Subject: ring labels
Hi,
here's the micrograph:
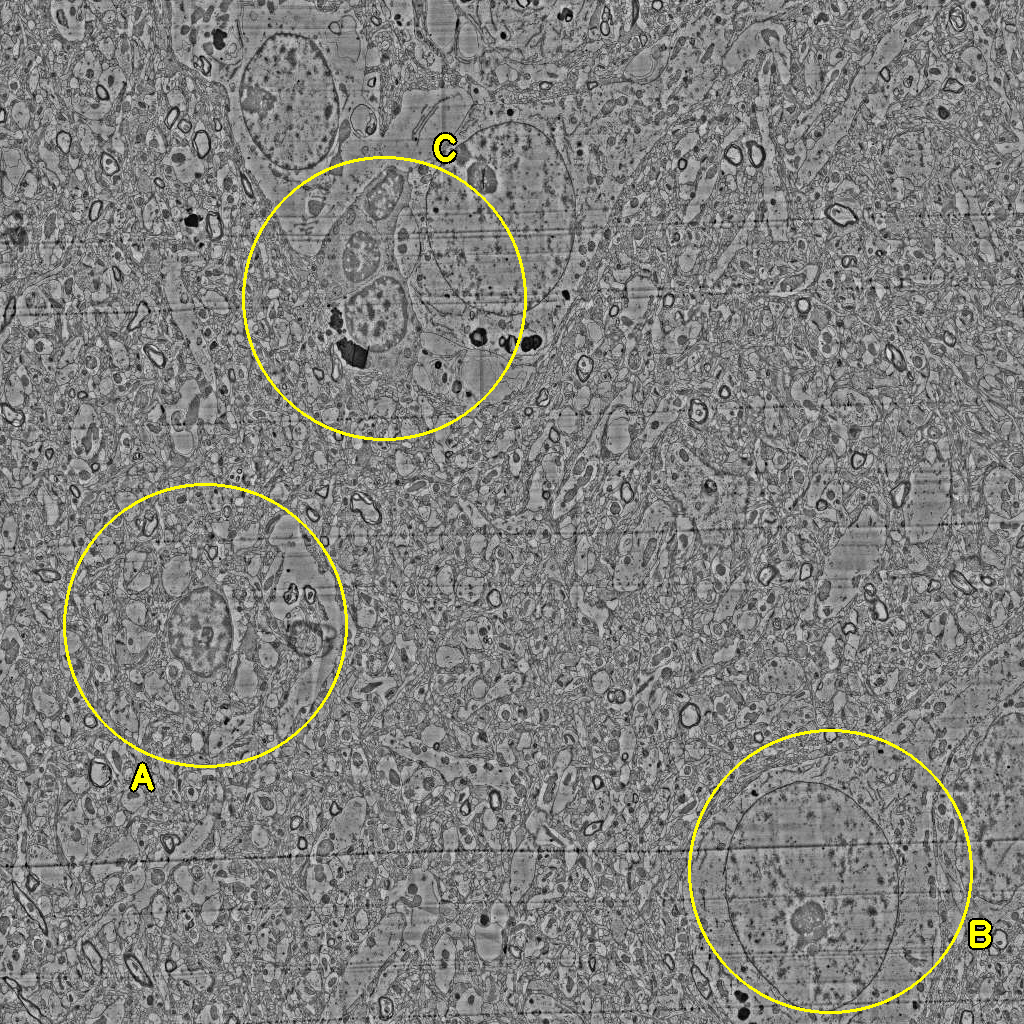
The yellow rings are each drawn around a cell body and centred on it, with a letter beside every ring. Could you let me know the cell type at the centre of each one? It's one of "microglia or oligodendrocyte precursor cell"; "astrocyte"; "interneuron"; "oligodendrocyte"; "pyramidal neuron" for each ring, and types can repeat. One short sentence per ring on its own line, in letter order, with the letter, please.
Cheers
The type at the centre of ring A is an oligodendrocyte.
The type at the centre of ring B is a pyramidal neuron.
The type at the centre of ring C is an oligodendrocyte.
